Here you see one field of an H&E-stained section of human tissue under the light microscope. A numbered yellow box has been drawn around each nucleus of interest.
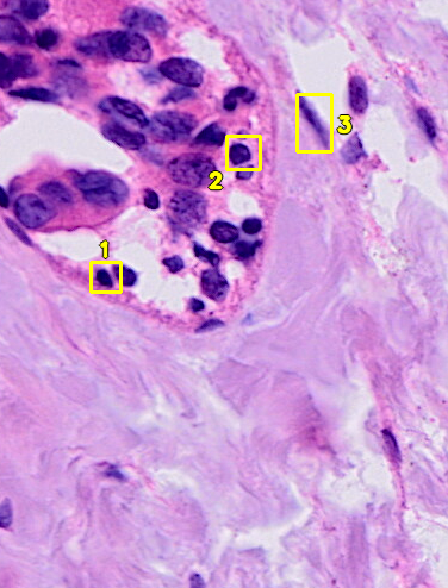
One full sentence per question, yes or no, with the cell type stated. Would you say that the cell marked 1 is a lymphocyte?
Yes, the cell that is numbered 1 is a lymphocyte.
